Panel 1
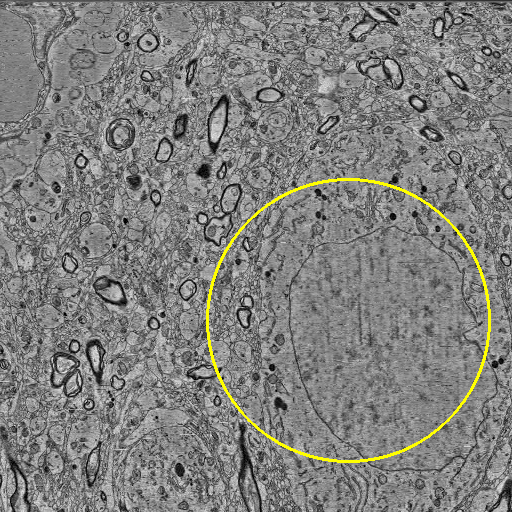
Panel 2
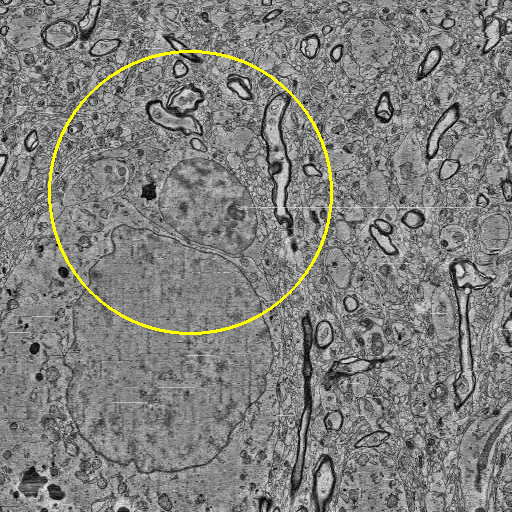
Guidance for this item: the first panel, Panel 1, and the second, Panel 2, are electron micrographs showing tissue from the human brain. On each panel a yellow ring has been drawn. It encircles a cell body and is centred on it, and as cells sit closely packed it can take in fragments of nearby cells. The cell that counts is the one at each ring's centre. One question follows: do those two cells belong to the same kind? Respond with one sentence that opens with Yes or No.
No, the cells at the ring centres in Panel 1 and Panel 2 are of two kinds.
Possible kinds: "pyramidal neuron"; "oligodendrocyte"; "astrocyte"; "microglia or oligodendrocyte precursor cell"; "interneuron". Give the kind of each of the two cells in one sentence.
The cell in the second picture is an oligodendrocyte, and that in the first is a pyramidal neuron.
